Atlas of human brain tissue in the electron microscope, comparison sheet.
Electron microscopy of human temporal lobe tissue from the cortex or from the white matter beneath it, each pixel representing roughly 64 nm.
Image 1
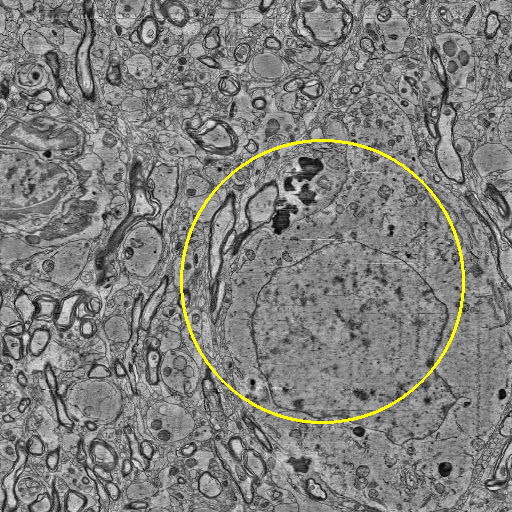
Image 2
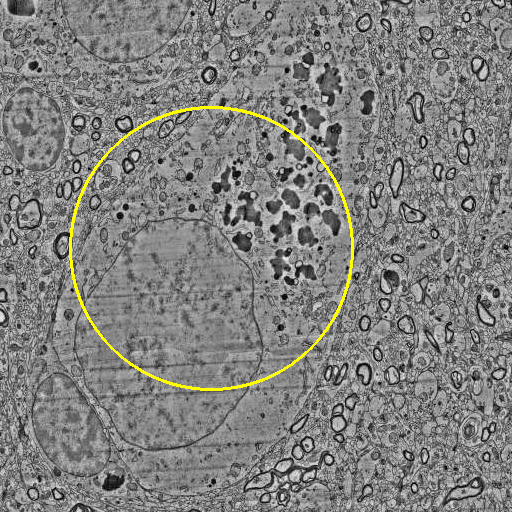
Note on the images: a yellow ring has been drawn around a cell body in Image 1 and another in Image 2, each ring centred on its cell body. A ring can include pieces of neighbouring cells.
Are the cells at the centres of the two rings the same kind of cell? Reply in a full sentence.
Yes, both cells are of the same kind.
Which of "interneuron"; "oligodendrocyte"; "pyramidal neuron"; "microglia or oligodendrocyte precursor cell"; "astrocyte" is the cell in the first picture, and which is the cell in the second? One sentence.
The second cell is a pyramidal neuron, just as the first is.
